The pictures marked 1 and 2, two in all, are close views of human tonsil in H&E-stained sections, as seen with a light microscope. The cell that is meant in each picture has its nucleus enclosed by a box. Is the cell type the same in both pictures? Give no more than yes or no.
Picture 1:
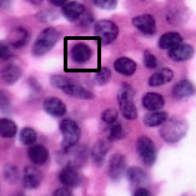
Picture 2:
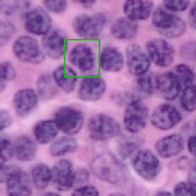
no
